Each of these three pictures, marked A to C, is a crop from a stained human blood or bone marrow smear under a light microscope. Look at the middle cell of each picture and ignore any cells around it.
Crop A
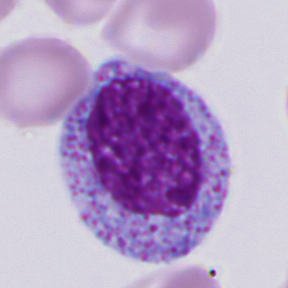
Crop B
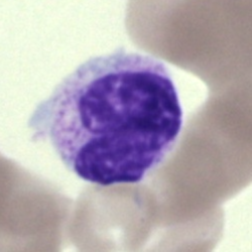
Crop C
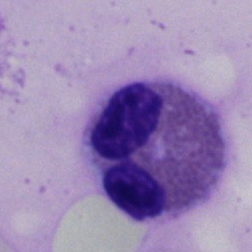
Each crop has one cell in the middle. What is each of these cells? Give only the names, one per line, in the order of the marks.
promyelocyte
band neutrophil
eosinophil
